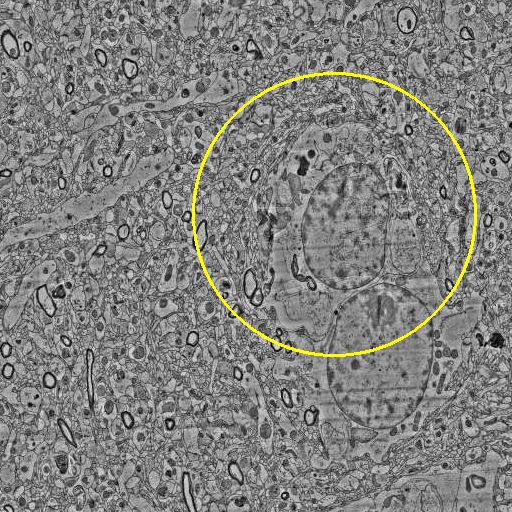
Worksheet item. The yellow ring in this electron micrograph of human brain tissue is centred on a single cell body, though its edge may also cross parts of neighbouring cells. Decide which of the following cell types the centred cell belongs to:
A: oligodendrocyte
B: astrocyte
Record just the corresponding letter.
B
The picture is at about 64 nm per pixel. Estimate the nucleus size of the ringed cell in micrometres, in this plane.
In this plane, the nucleus of the cell at the centre of the ring measures about 8 by 6 micrometres.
